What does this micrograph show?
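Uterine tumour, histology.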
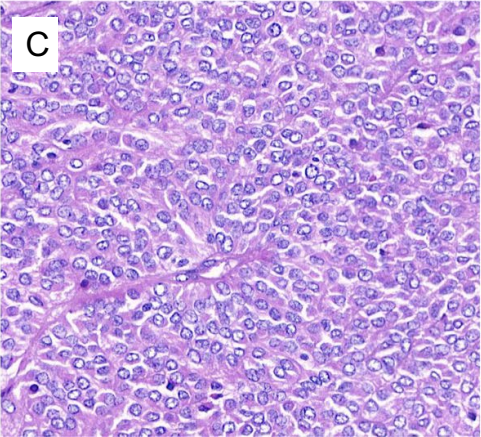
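The cells are polygonal and closely packed, with round to oval nuclei that have open chromatin and a distinct nucleolus. The cytoplasm is pink and the nuclei tend to sit toward one side of the cell. Only a thin strand of pink stroma crosses the sheet.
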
